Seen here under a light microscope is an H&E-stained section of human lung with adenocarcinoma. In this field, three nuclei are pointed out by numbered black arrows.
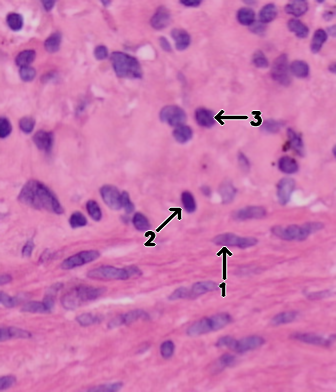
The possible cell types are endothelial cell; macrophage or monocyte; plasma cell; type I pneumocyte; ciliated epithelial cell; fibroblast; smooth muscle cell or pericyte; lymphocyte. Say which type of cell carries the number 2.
lymphocyte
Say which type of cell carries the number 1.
smooth muscle cell or pericyte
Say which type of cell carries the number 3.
lymphocyte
